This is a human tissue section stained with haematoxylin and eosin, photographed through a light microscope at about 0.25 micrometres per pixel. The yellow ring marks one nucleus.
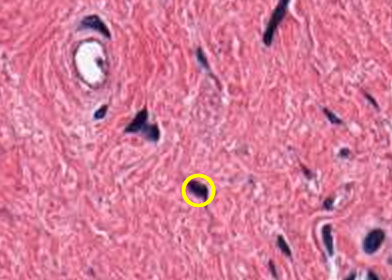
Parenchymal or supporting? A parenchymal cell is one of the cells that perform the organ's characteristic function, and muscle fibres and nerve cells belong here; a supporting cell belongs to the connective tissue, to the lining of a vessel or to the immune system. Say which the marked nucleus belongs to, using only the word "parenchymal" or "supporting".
supporting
